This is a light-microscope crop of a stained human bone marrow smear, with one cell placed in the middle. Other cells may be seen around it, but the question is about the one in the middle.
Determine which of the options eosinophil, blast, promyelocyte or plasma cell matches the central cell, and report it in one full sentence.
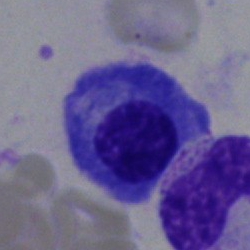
The cell positioned in the middle of the field is a plasma cell.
